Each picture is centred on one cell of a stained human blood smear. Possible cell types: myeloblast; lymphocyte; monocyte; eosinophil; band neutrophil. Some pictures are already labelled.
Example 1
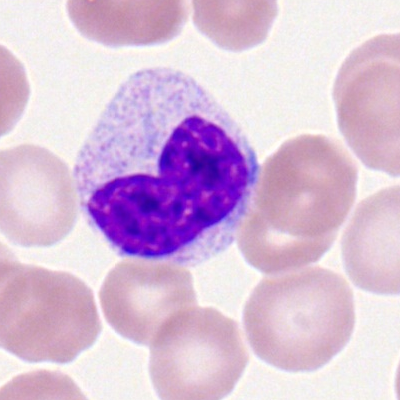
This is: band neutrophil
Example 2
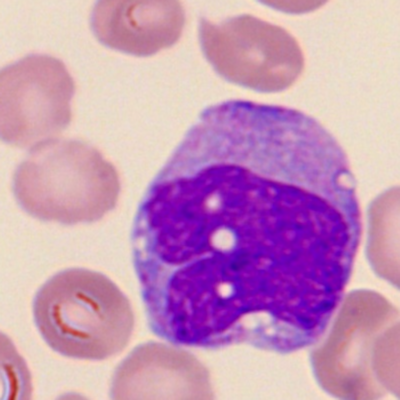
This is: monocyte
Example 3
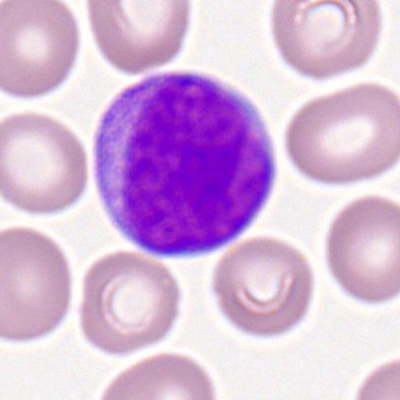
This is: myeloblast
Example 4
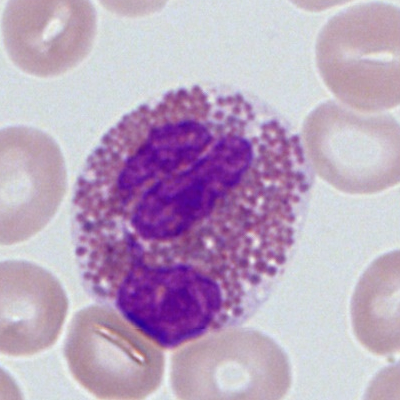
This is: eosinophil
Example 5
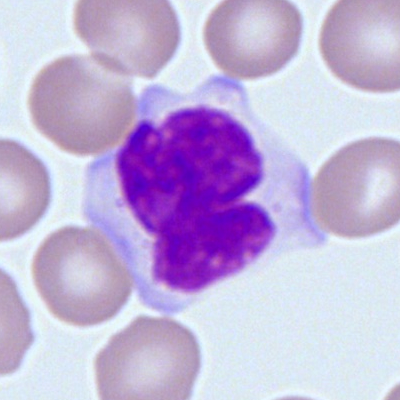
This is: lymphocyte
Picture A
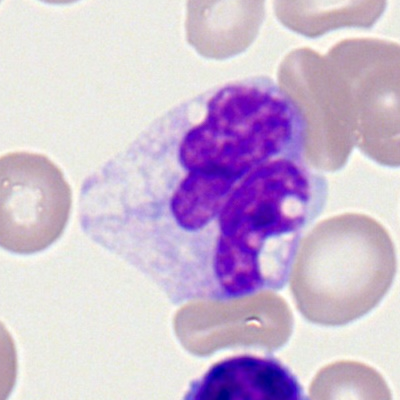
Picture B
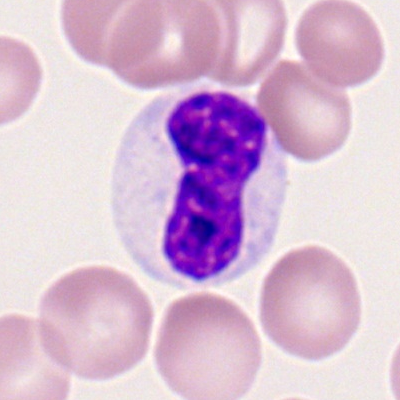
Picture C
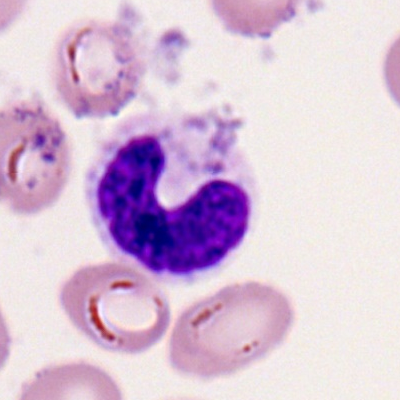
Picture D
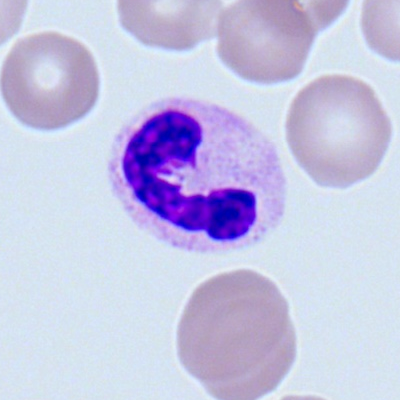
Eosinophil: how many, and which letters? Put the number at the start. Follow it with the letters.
0, none of them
